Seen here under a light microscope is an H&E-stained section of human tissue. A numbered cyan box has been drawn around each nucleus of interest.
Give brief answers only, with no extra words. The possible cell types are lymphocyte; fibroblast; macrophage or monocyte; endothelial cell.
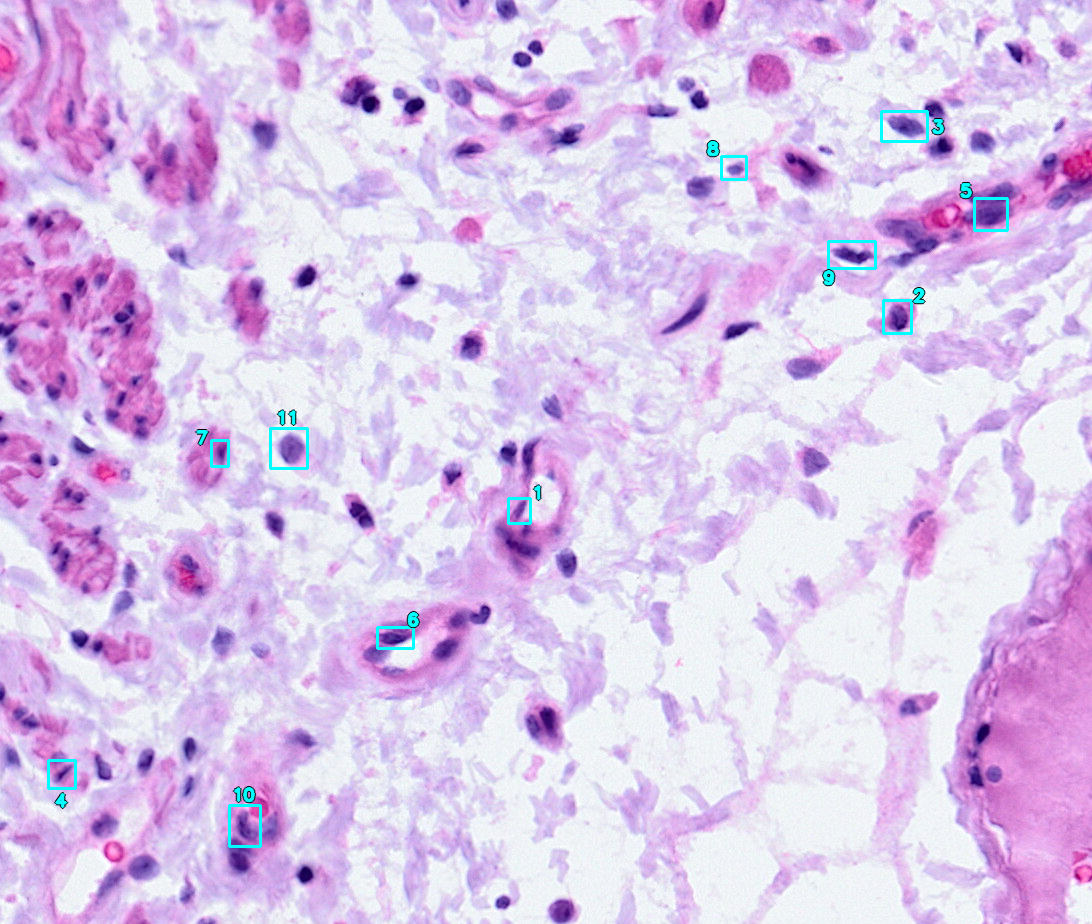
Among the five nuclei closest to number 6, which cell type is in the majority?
endothelial cell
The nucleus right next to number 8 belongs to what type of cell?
fibroblast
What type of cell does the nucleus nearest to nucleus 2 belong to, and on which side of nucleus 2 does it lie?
a fibroblast above nucleus 2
